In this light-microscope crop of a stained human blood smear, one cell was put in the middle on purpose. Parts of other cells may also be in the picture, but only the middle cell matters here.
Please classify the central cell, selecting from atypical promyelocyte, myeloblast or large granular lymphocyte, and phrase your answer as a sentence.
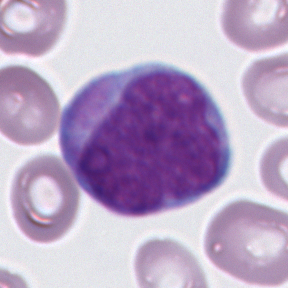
Regarding the central cell, it is an atypical promyelocyte.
